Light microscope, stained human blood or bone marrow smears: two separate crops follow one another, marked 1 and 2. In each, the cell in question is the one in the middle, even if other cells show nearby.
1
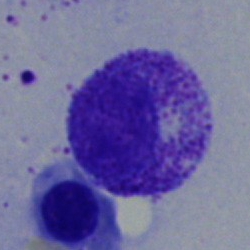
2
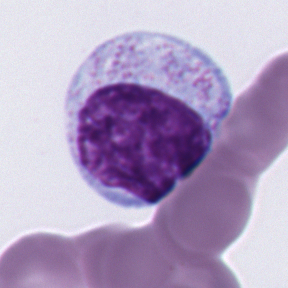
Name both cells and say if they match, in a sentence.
Yes, both of the crops show myelocytes.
